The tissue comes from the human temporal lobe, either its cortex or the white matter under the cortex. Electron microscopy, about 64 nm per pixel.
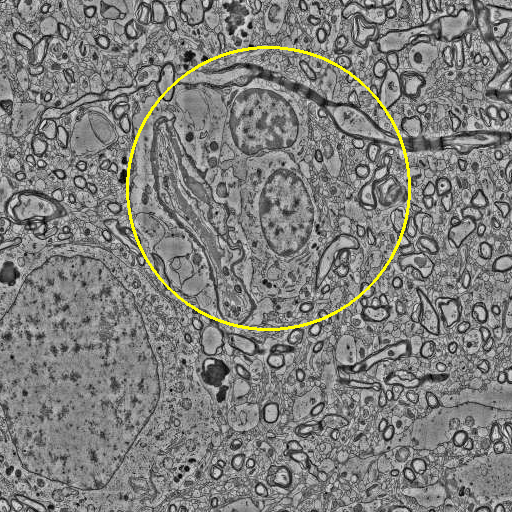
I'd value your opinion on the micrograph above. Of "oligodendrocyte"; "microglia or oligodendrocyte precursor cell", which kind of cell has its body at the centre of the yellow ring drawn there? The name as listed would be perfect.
microglia or oligodendrocyte precursor cell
